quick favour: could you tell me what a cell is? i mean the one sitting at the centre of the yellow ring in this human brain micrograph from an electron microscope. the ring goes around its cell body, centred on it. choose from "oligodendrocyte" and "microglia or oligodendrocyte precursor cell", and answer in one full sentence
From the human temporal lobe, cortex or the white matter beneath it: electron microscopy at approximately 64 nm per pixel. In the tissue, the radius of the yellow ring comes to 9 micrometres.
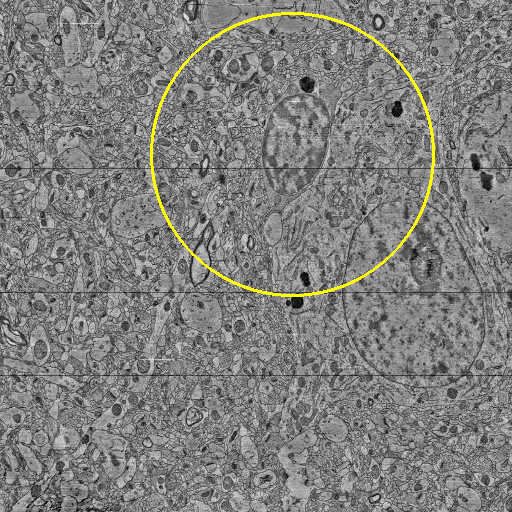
That's an oligodendrocyte, the cell sitting at the centre of the yellow ring.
